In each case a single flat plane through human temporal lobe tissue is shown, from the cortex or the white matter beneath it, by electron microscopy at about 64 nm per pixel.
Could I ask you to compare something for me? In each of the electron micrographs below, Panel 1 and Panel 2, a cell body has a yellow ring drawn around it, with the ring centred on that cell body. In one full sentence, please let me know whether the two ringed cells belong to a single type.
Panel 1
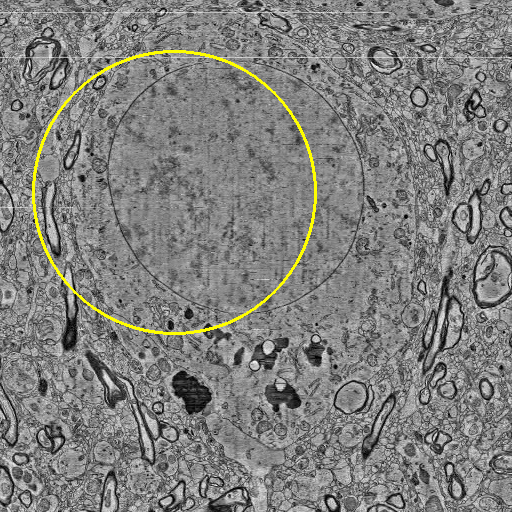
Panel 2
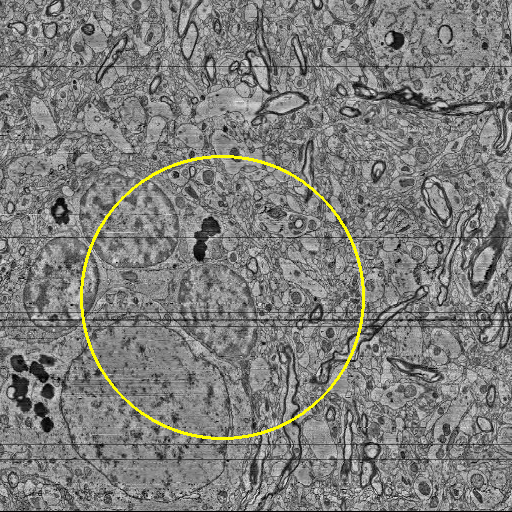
No, the two cells at the centres of the rings are of two types.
